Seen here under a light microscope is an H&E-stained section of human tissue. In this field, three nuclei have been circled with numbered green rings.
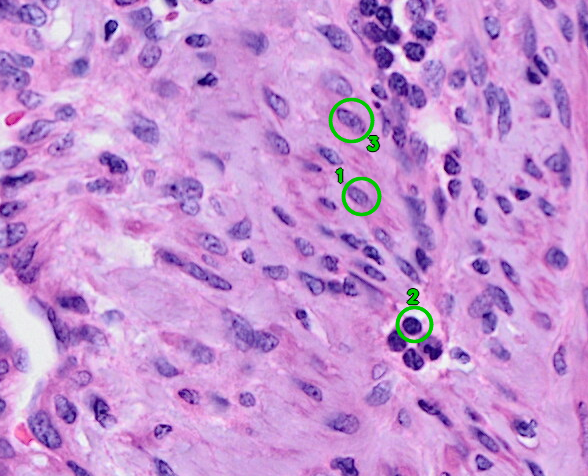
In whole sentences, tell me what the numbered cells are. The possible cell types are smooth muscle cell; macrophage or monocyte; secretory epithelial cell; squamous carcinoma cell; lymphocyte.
Cell 1 is a smooth muscle cell, cell 2 is a lymphocyte and cell 3 is a smooth muscle cell.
